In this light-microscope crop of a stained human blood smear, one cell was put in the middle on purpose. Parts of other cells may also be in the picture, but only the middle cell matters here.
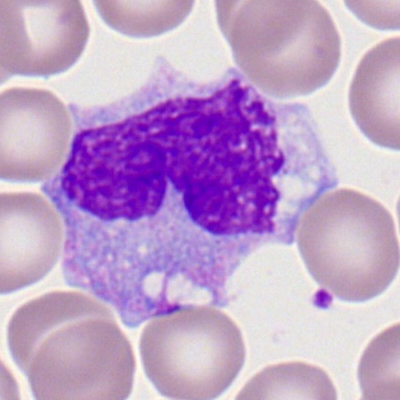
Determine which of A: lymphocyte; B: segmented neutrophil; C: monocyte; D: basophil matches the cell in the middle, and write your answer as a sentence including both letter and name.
Option C, which names the central cell as a monocyte, is correct.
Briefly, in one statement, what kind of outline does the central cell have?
A smooth outline is absent here, replaced by ragged stretches or projections.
